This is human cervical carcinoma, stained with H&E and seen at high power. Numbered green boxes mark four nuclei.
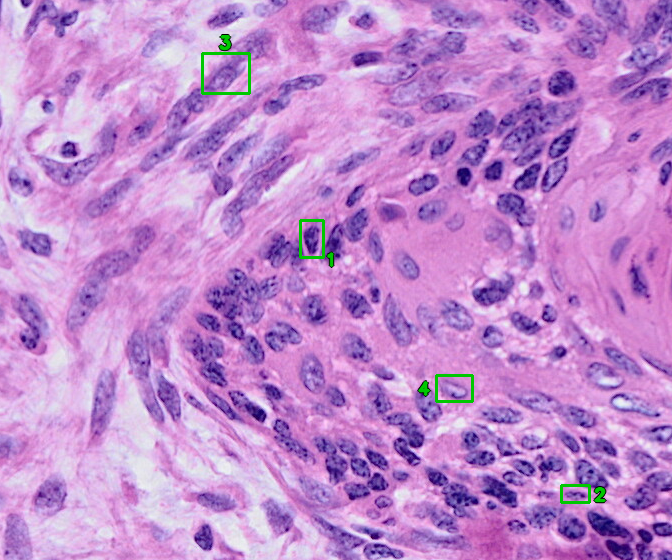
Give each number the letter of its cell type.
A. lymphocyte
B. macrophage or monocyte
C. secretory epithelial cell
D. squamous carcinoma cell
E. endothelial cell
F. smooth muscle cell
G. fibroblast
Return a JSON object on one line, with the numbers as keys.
{"1": "D", "2": "D", "3": "G", "4": "D"}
